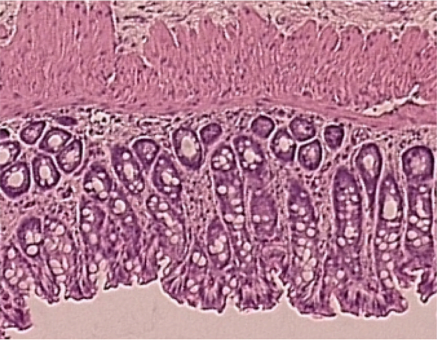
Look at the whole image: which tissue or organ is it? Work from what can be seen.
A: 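Closely packed tubular crypts, some cut across as rings. Numerous clear goblet-cell vacuoles line the crypts. Thick pink muscle layer beneath the mucosa.
Hence: colon.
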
